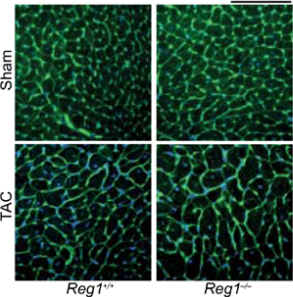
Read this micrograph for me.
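Heart muscle cut in cross-section, in which the cardiomyocytes appear as closely packed, roughly polygonal profiles outlined by bright green membrane staining. The interior of each cell is dark, and small blue nuclei sit along the green borders between cells. In the lower two images the outlined profiles are visibly larger than in the upper two, and in the lower right image they are the largest of all.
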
